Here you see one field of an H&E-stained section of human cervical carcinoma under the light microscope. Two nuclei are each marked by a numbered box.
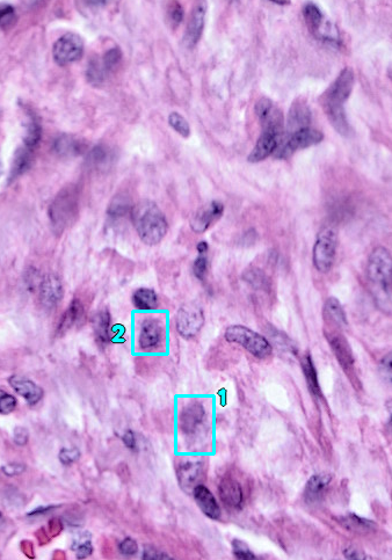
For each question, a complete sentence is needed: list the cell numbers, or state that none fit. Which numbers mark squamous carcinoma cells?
The tally for squamous carcinoma cells among the numbered cells is zero.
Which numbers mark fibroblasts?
Of the cells carrying numbers, just cell 1 is a fibroblast.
